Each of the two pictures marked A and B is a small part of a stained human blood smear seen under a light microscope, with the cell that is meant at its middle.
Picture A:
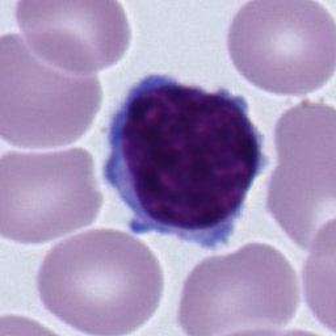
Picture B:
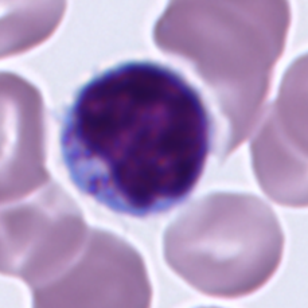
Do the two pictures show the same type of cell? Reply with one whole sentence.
Yes, the two pictures both show typical lymphocytes.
